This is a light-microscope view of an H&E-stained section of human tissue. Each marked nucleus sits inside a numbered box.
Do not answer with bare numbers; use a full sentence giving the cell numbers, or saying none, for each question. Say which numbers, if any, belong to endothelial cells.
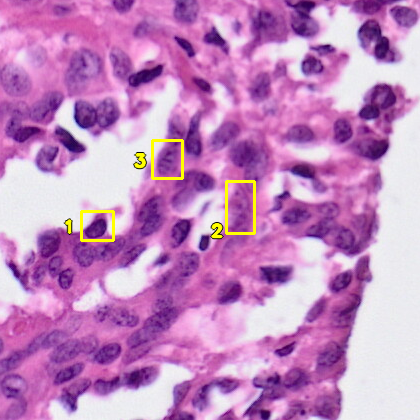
Of the marked cells, the one numbered 2 is an endothelial cell and the rest are not.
